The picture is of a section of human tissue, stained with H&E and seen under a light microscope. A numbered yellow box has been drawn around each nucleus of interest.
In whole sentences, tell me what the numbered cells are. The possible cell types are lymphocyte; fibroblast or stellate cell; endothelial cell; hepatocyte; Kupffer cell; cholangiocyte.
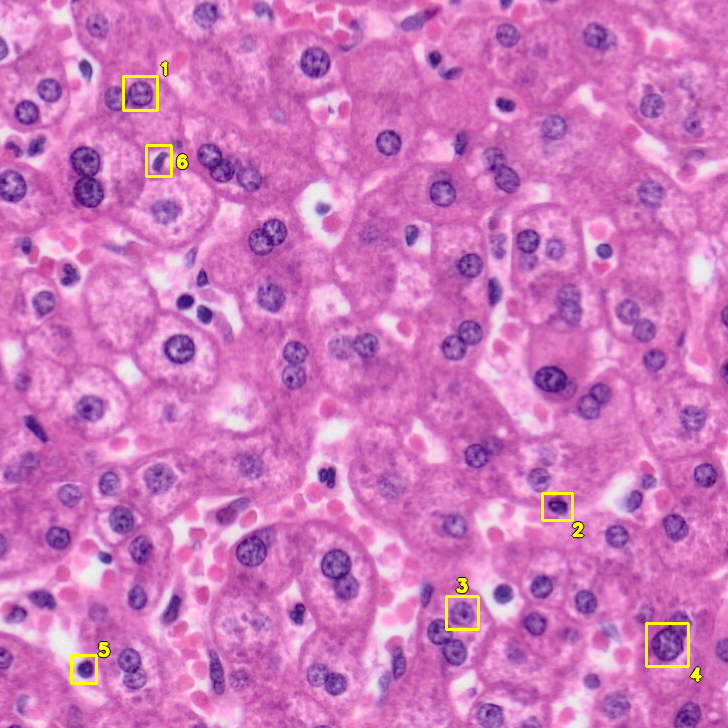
Cells 1, 3 and 4 are hepatocytes. Cell 2 is a fibroblast or stellate cell. Cell 5 is a lymphocyte. Cell 6 is an endothelial cell.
